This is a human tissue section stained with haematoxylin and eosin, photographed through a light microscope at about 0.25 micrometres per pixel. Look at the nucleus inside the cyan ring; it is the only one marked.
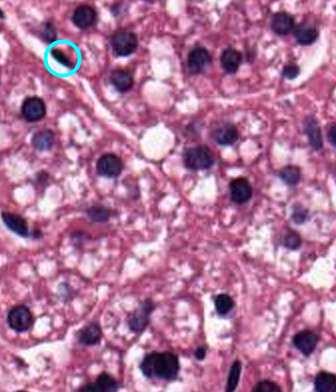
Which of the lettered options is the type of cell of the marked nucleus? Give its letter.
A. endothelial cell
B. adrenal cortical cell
A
